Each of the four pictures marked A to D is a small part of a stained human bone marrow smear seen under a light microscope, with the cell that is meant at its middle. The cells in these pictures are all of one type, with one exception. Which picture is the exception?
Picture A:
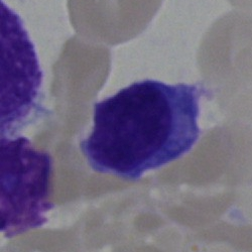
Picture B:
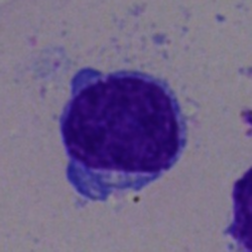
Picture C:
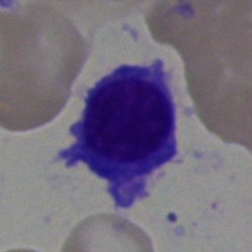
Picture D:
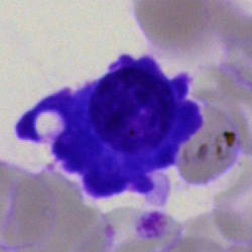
B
